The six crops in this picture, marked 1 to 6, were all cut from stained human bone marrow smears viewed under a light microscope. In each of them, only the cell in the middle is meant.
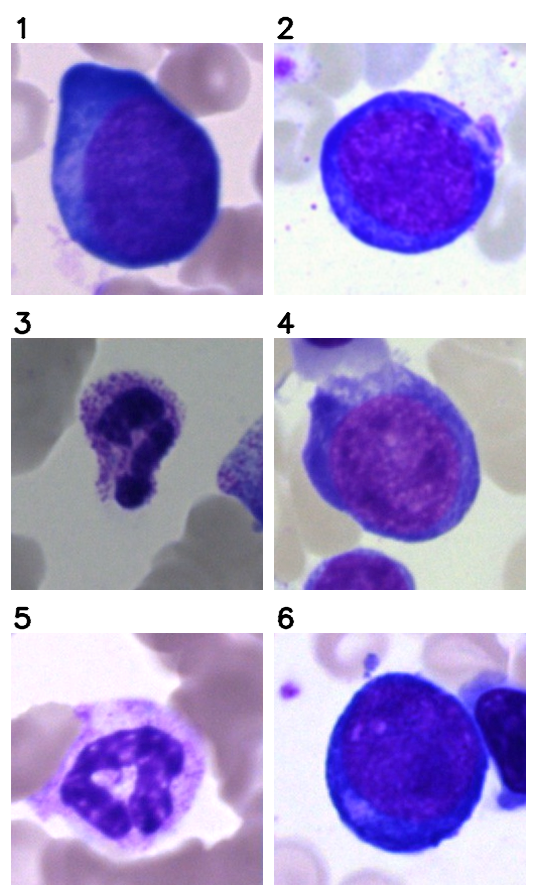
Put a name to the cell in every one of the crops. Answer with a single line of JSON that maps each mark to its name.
{"1": "proerythroblast", "2": "proerythroblast", "3": "segmented neutrophil", "4": "proerythroblast", "5": "segmented neutrophil", "6": "proerythroblast"}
